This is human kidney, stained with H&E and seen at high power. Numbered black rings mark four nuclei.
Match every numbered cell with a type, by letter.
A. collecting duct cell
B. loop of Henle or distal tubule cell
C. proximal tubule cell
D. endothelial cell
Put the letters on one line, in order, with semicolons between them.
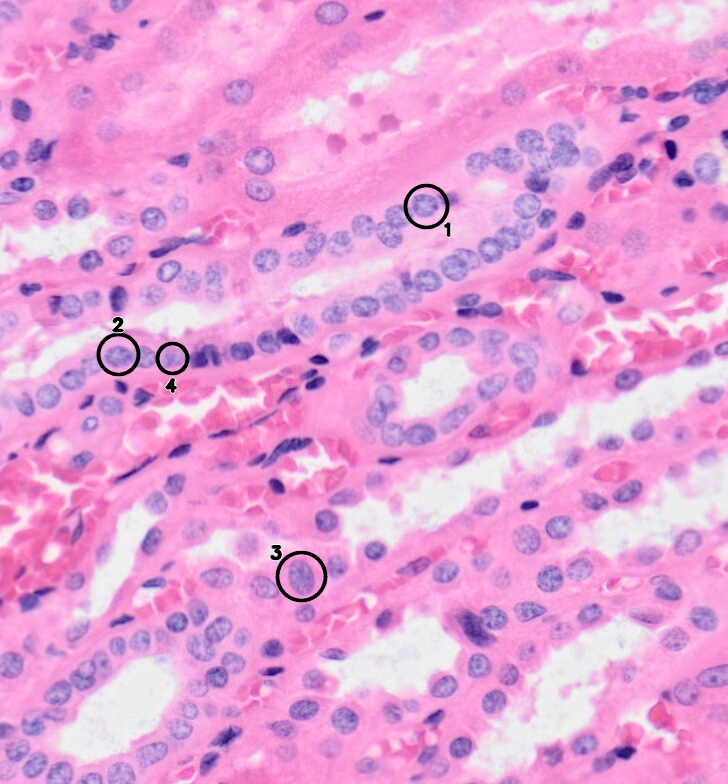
A; A; B; A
